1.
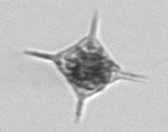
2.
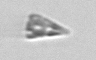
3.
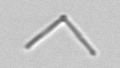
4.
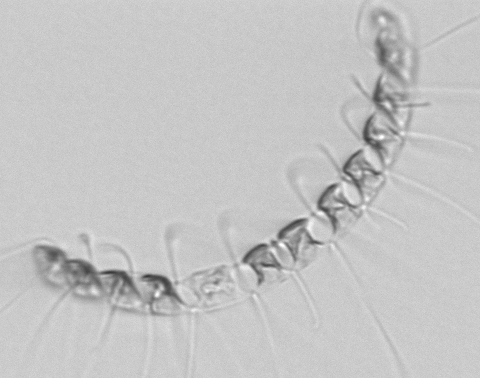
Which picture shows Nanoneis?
Picture 3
